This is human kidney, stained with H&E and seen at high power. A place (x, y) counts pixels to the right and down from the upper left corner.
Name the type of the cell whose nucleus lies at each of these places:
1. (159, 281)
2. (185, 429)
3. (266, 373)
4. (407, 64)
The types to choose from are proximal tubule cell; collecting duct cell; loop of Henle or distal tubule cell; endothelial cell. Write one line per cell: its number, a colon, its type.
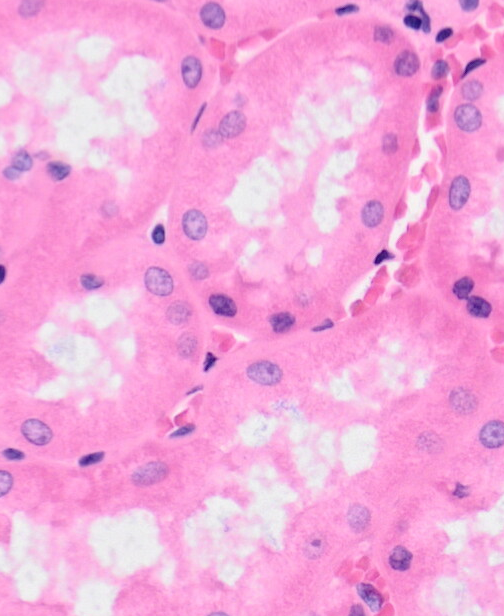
1: proximal tubule cell
2: endothelial cell
3: proximal tubule cell
4: proximal tubule cell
